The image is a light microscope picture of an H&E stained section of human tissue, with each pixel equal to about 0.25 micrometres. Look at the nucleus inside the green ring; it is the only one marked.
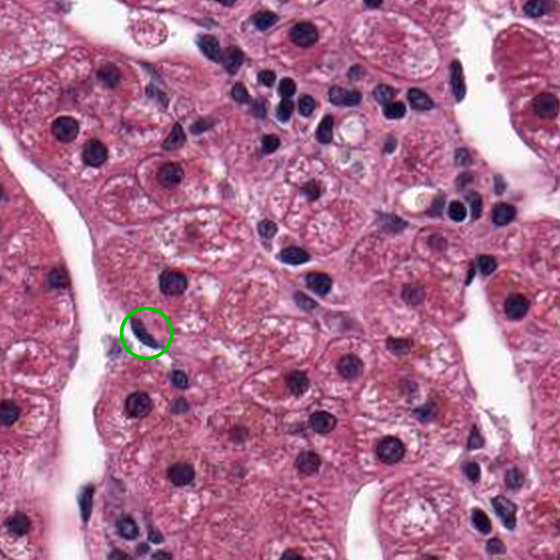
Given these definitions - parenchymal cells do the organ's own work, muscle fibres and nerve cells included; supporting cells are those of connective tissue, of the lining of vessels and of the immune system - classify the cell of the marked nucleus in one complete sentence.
The marked nucleus belongs to a supporting cell.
